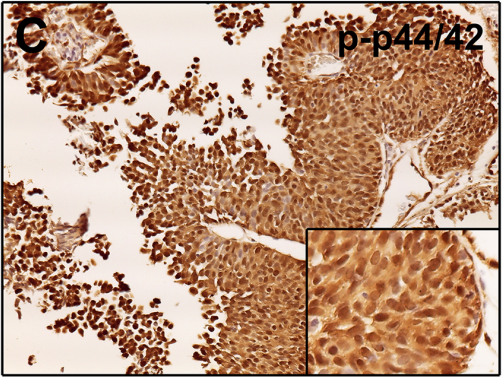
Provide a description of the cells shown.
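Fronds of thick, many-layered epithelium lie around thin cores of loose stroma with small vessels, with detached clusters of cells between them. The epithelial cells are crowded, with oval to elongated nuclei, and nearly all of them take up a strong brown stain in both nucleus and cytoplasm.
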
